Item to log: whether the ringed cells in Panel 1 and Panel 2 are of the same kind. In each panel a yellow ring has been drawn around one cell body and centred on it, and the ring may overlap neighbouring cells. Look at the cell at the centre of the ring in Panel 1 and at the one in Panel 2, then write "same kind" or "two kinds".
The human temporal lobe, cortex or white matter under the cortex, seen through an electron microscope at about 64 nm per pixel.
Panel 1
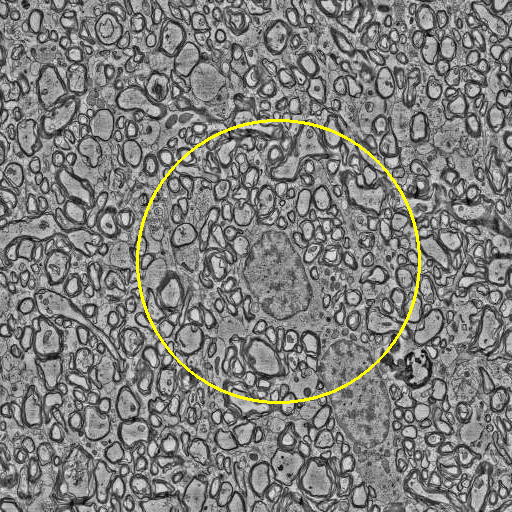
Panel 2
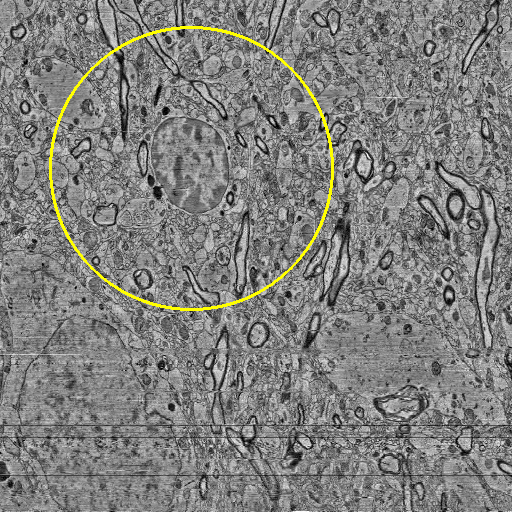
two kinds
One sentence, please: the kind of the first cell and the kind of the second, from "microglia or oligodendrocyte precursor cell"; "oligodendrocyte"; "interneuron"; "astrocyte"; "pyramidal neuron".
The ring in the first picture surrounds an oligodendrocyte, and the ring in the second surrounds a microglial cell or oligodendrocyte precursor cell.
